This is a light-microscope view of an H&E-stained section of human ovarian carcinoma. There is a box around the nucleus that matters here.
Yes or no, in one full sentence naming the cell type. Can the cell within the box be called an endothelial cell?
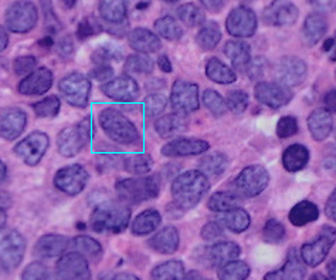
No, the cell within the box represents a carcinoma cell and does not represent an endothelial cell.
